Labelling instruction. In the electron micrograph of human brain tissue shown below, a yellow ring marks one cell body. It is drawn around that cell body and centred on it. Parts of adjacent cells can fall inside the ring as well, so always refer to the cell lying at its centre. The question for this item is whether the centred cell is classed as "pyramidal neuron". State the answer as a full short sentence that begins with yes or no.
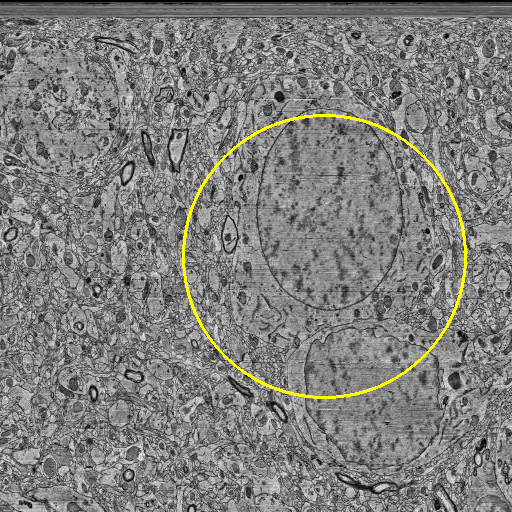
Yes, the centred cell is of that class.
